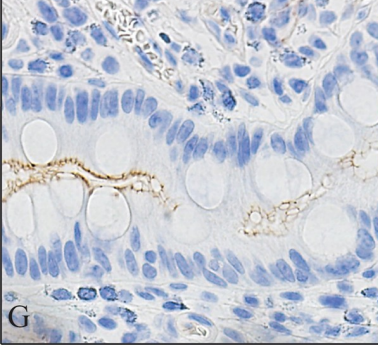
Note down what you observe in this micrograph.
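At high magnification, a layer of columnar epithelial cells with elongated blue nuclei lines a narrow lumen, with several large clear round vacuoles among them. A thin, dotted brown line runs along the edge facing the lumen, at the borders between neighbouring cells, while the nuclei and the rest of the cytoplasm are unstained. The stroma below with scattered small cells carries no brown. The stain is limited to the epithelial cells at their membranes near the lumen.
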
